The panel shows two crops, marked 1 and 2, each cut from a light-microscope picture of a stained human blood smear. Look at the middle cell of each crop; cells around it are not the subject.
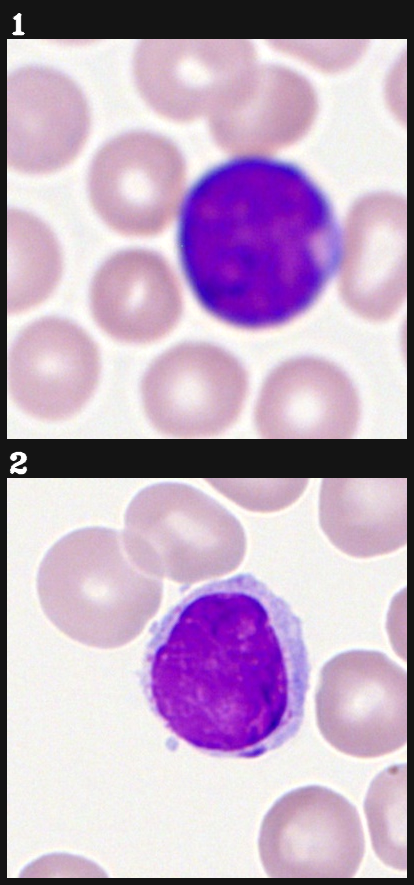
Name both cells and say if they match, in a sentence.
No, the assignment should read crop 1, a blast; crop 2, a lymphocyte.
